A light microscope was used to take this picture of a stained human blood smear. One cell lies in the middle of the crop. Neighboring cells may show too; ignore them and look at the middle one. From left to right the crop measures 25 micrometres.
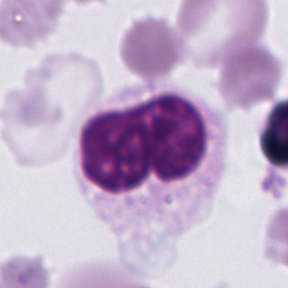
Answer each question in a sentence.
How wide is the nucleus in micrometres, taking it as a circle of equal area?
Taken as a circle, the nucleus has a diameter of about 9 micrometres.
